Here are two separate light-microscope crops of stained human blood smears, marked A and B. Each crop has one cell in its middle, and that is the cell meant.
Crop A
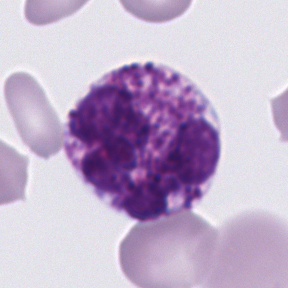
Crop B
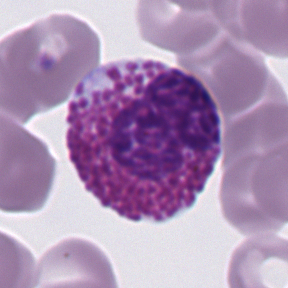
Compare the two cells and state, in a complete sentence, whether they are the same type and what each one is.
No, a basophil is shown in crop A and an eosinophil in crop B.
